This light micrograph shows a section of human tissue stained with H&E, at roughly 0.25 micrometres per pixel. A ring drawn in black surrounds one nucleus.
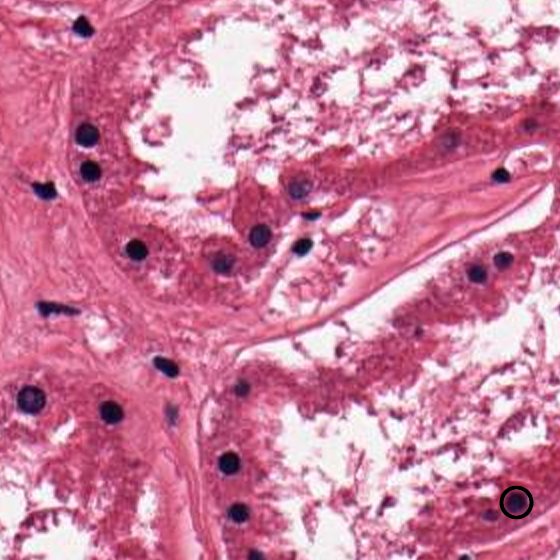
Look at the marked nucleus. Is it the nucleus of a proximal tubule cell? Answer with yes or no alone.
yes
